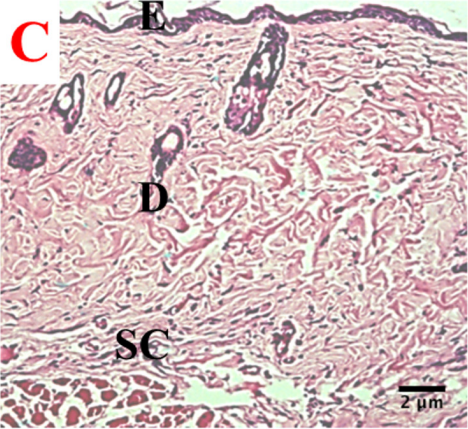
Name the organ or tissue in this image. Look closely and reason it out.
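Skin. A thin dark surface epithelial layer lies over loose pink fibrous connective tissue. Hair-follicle-like adnexal structures lie in the fibrous layer. Red-stained muscle bundles appear at the lower left.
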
